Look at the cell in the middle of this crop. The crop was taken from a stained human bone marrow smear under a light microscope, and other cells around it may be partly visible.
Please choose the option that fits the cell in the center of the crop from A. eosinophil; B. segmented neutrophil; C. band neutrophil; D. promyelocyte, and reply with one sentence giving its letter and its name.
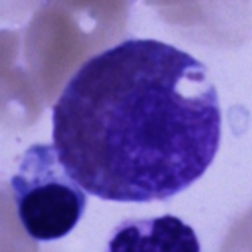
Since the middle cell is an eosinophil, option A is the right one.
